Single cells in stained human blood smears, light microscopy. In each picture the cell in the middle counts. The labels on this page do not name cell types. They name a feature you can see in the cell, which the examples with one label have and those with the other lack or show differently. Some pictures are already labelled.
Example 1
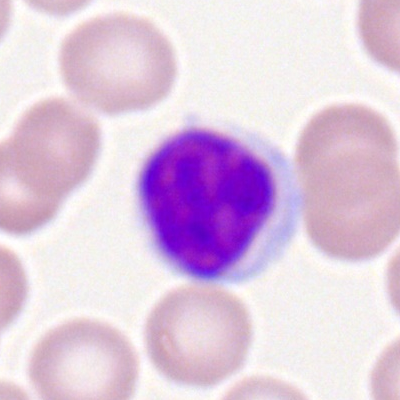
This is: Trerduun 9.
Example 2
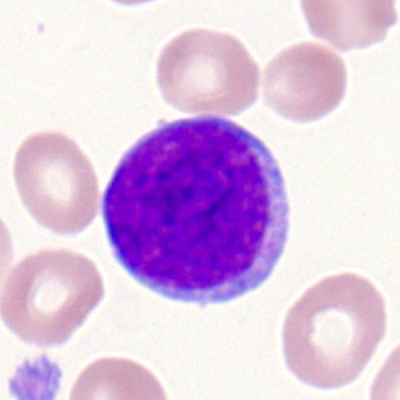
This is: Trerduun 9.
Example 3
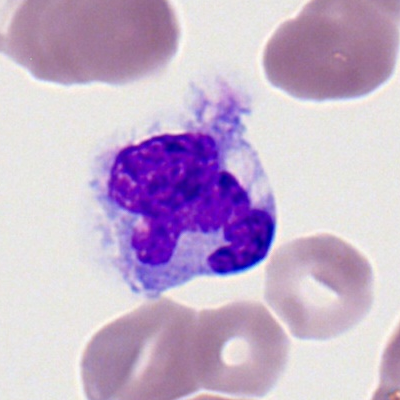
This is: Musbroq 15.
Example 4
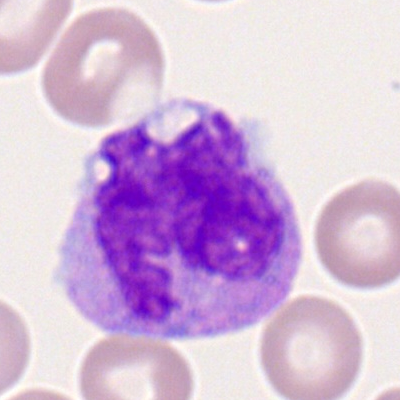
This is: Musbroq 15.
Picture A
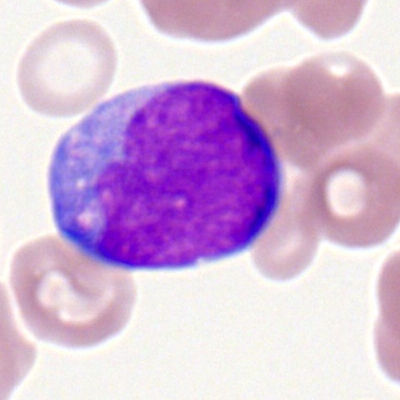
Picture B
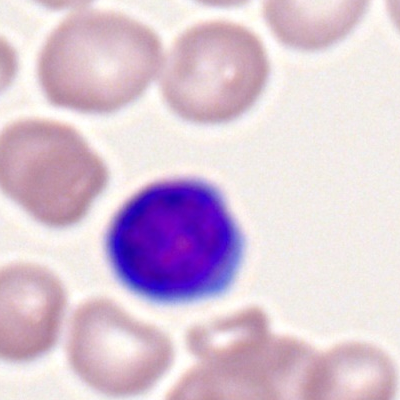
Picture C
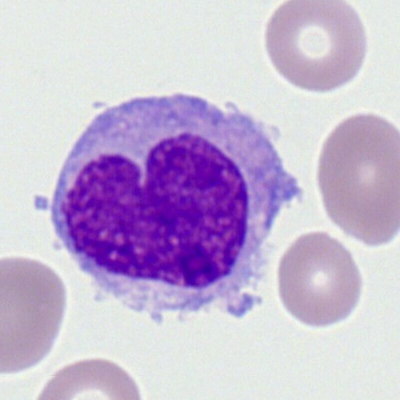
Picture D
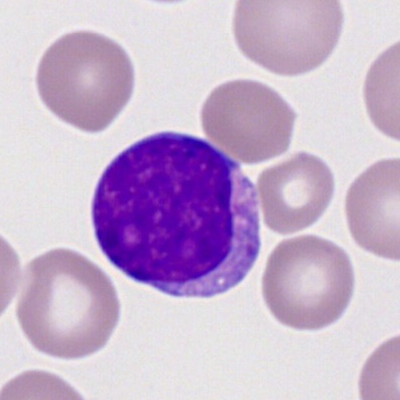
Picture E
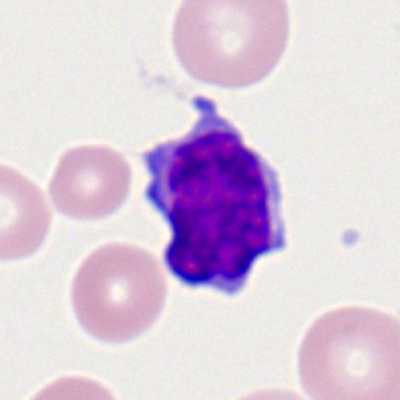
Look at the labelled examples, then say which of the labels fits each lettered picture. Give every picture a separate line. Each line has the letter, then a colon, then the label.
A: Trerduun 9.
B: Trerduun 9.
C: Musbroq 15.
D: Trerduun 9.
E: Musbroq 15.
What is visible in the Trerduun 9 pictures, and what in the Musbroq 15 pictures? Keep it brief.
In Trerduun 9: smooth outline. In Musbroq 15: ragged outline or projections.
